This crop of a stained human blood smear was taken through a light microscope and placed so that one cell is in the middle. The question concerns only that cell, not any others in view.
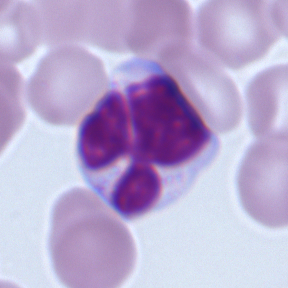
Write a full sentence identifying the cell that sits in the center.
Seen at the centre of the crop is a large granular lymphocyte.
